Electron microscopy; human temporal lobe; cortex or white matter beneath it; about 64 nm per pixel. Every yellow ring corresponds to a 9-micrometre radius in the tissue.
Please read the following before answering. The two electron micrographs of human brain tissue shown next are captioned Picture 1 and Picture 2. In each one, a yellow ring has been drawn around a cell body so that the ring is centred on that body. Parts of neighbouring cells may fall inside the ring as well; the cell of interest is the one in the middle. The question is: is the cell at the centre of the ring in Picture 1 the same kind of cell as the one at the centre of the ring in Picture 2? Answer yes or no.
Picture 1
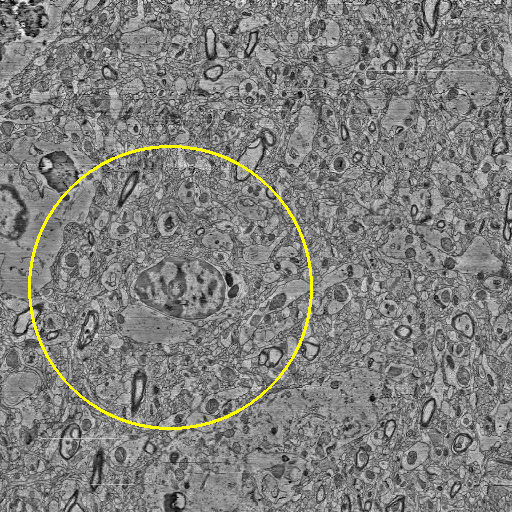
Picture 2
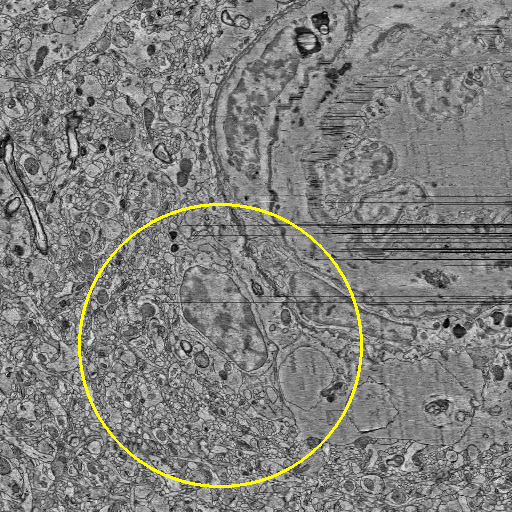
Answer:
yes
